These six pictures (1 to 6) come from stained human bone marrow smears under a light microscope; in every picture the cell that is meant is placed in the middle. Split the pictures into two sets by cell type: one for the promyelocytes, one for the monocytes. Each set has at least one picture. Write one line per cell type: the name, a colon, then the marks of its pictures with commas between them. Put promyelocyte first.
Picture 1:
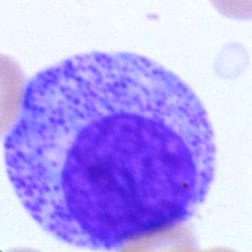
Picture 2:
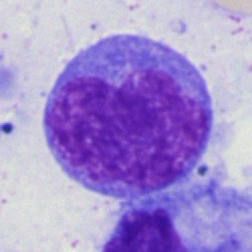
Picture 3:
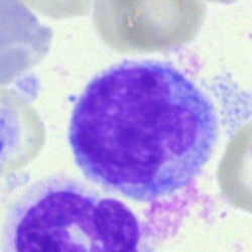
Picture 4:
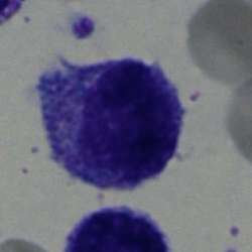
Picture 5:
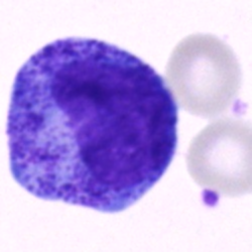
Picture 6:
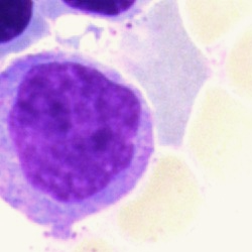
promyelocyte: 1, 4, 5
monocyte: 2, 3, 6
